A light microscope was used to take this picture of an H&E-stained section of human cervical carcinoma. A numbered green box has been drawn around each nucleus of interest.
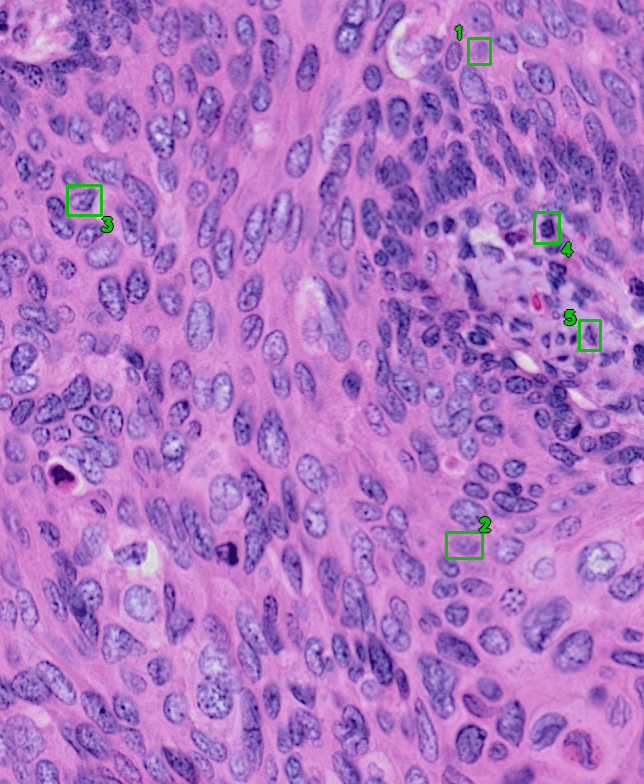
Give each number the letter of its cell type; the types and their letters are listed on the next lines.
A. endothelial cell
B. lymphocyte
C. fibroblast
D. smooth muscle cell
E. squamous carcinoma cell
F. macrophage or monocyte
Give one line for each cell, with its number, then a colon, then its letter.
1: E
2: E
3: E
4: B
5: C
